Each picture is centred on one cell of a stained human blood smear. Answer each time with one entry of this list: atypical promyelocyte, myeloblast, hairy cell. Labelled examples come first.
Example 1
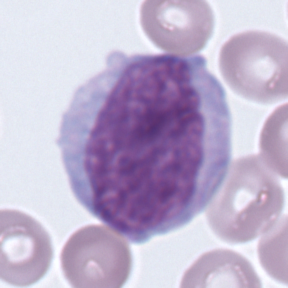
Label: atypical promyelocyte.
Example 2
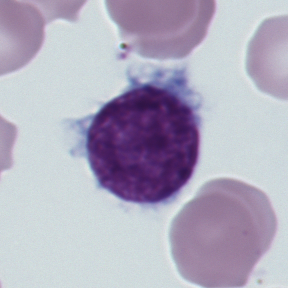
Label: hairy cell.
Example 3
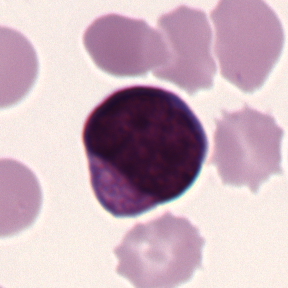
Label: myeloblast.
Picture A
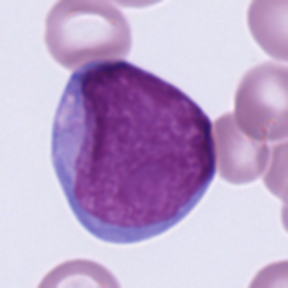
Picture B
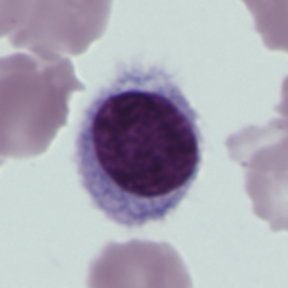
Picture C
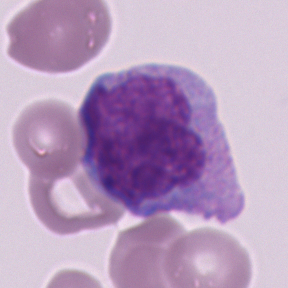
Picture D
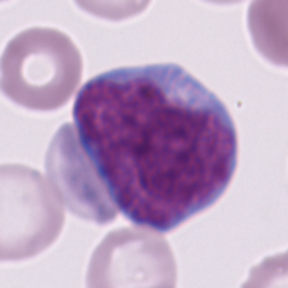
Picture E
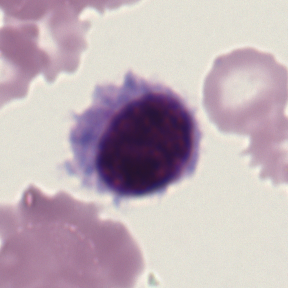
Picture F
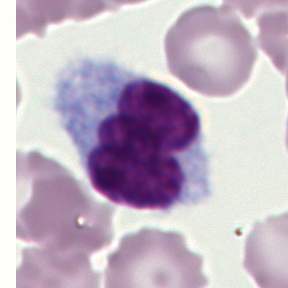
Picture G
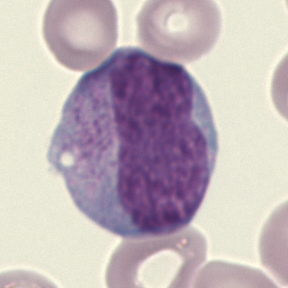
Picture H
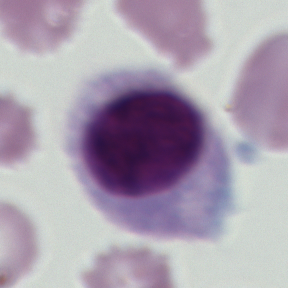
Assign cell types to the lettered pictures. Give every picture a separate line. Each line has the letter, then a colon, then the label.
A: myeloblast.
B: hairy cell.
C: atypical promyelocyte.
D: myeloblast.
E: hairy cell.
F: hairy cell.
G: atypical promyelocyte.
H: hairy cell.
